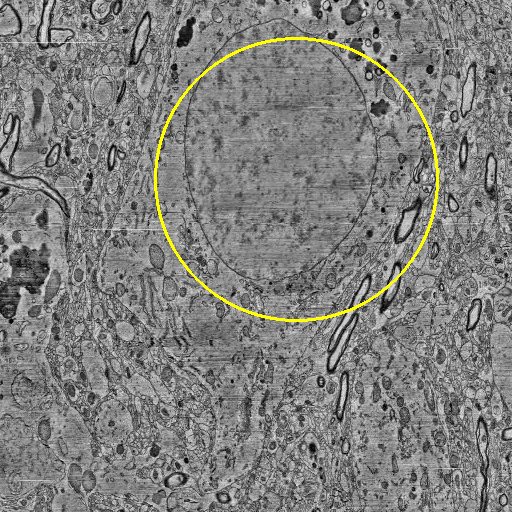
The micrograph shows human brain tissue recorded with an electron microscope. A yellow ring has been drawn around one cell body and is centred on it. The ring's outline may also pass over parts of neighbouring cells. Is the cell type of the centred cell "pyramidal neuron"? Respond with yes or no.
yes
